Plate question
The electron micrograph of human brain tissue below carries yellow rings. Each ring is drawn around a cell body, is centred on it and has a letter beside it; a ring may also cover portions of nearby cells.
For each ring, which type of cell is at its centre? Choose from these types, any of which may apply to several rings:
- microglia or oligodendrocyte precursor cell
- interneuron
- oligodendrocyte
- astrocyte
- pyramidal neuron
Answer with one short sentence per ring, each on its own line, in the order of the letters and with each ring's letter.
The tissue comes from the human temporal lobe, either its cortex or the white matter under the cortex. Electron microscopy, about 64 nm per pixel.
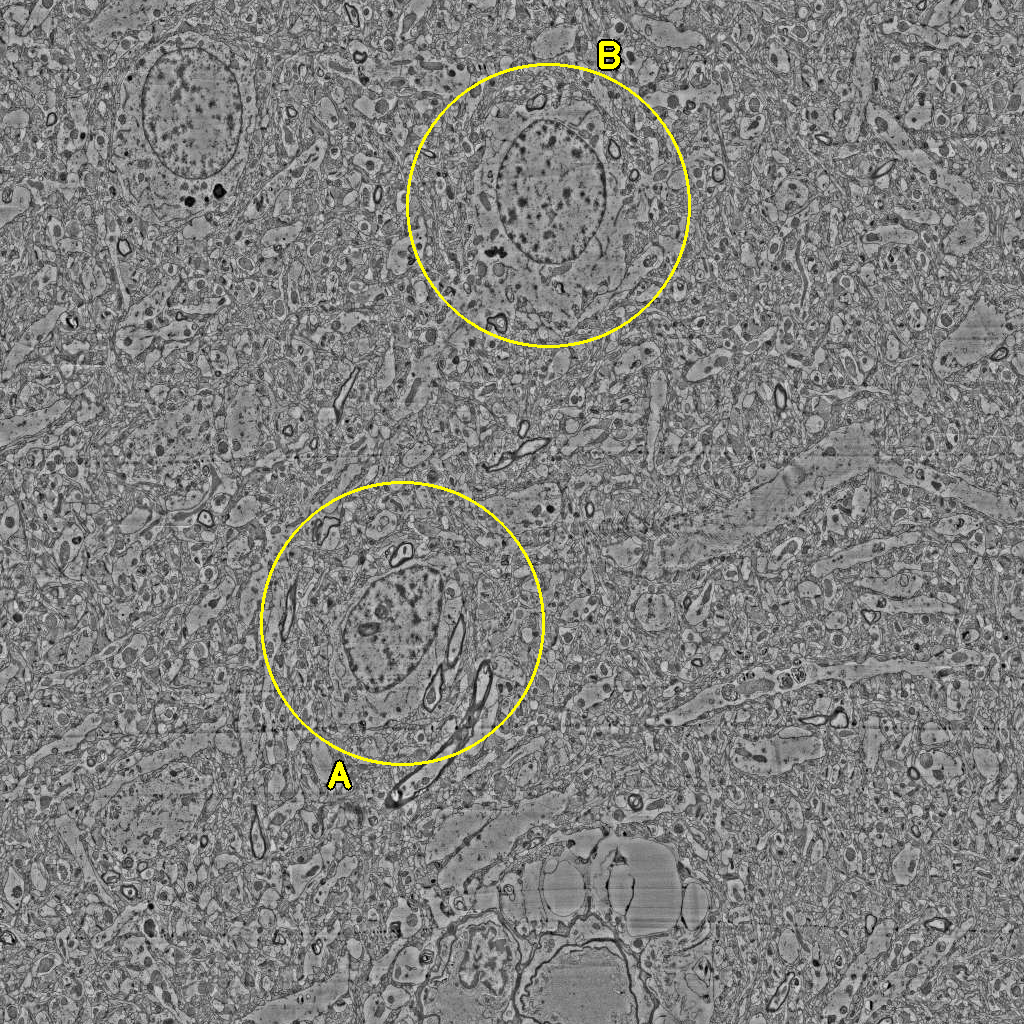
The cell ringed as A is a microglial cell or oligodendrocyte precursor cell.
The cell ringed as B is an astrocyte.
